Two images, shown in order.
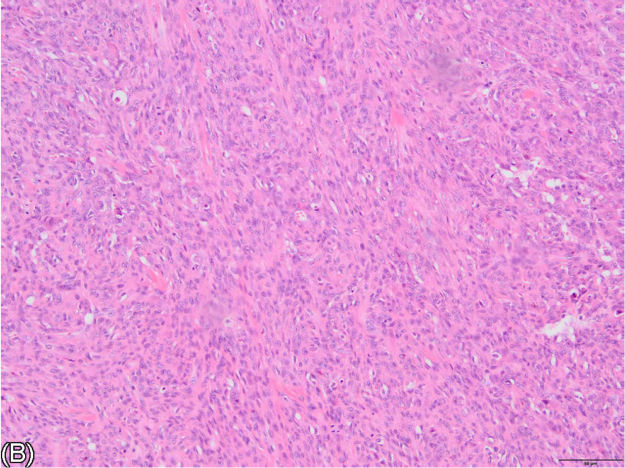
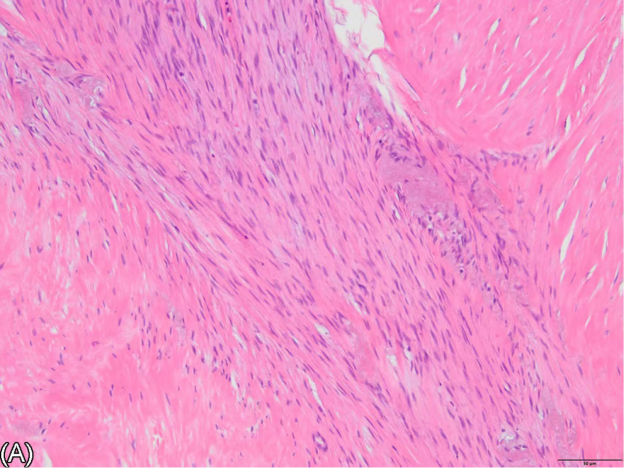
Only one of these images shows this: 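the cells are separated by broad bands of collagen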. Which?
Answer: The second image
